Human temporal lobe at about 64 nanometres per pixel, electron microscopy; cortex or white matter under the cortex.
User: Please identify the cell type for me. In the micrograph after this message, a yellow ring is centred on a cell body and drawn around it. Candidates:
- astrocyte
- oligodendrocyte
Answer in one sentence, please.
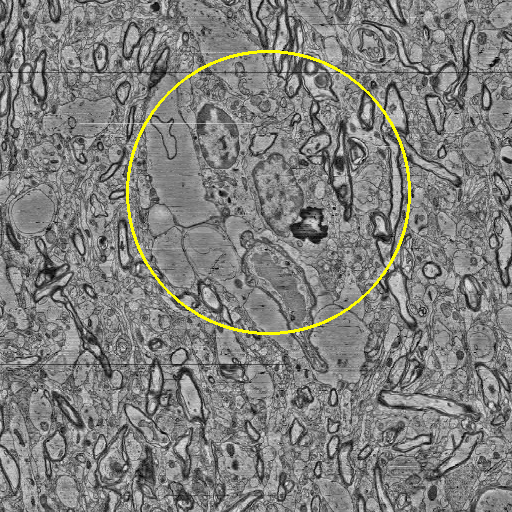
The ring is drawn around the cell body of an oligodendrocyte.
